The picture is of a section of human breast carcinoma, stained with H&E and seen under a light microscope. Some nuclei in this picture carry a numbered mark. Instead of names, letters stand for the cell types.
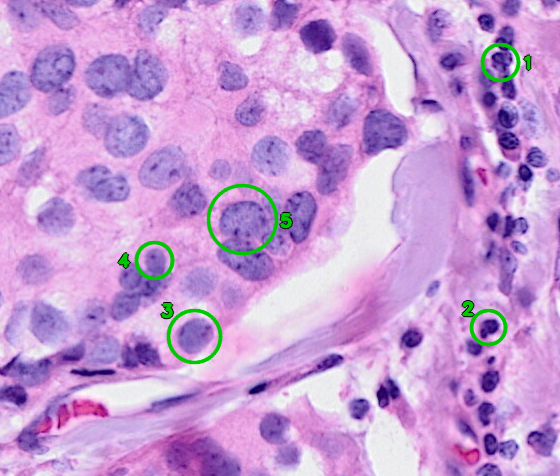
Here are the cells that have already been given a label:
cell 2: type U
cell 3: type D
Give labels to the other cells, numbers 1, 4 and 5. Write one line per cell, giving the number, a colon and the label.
1: type U
4: type D
5: type D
